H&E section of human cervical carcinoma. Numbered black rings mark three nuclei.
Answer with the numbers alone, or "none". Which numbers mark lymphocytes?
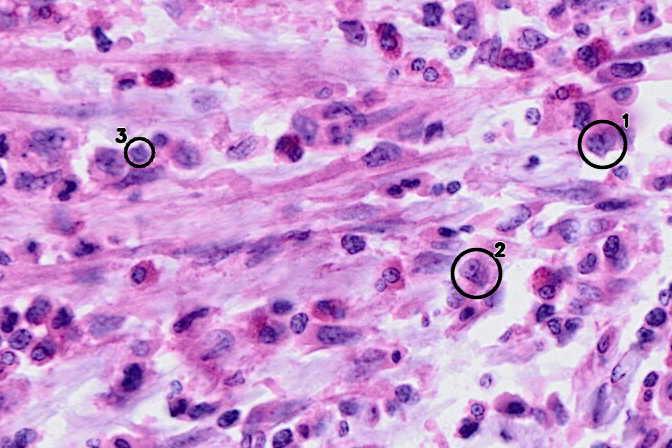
3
